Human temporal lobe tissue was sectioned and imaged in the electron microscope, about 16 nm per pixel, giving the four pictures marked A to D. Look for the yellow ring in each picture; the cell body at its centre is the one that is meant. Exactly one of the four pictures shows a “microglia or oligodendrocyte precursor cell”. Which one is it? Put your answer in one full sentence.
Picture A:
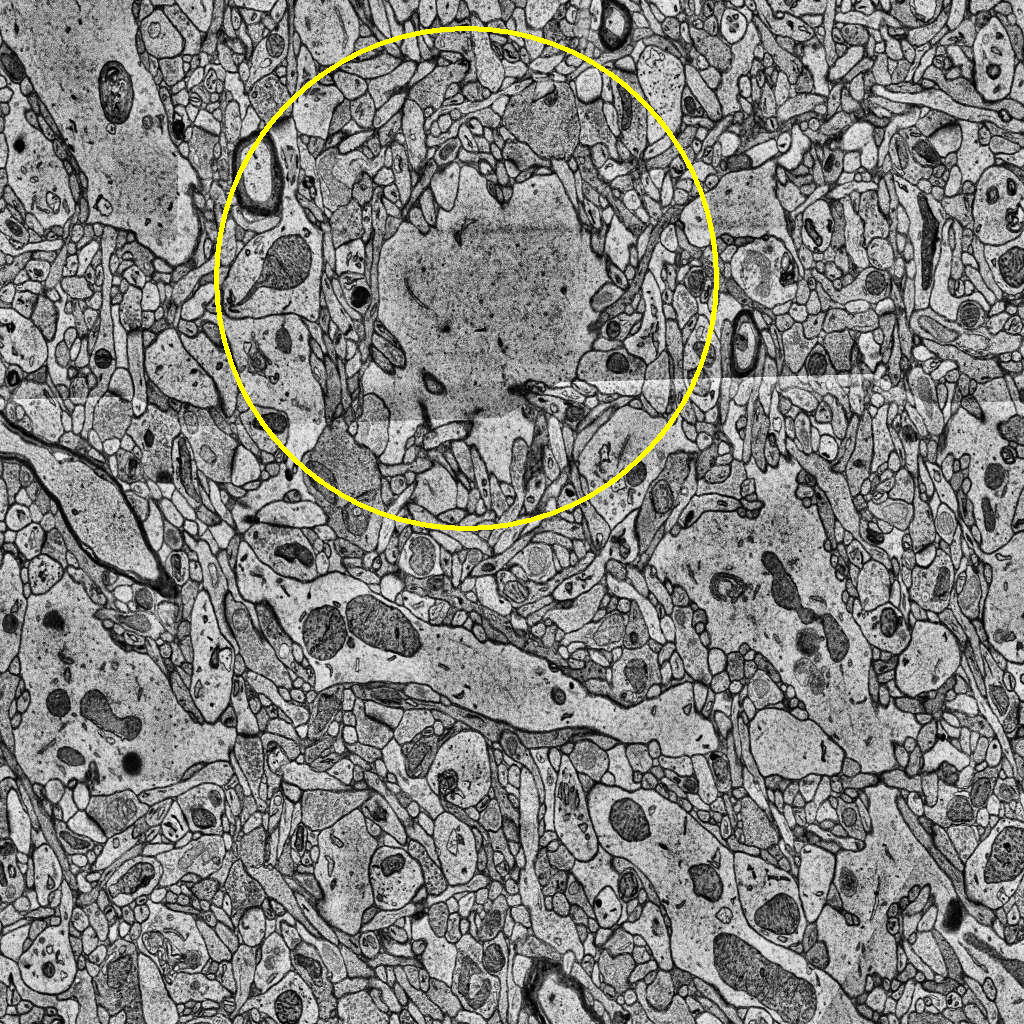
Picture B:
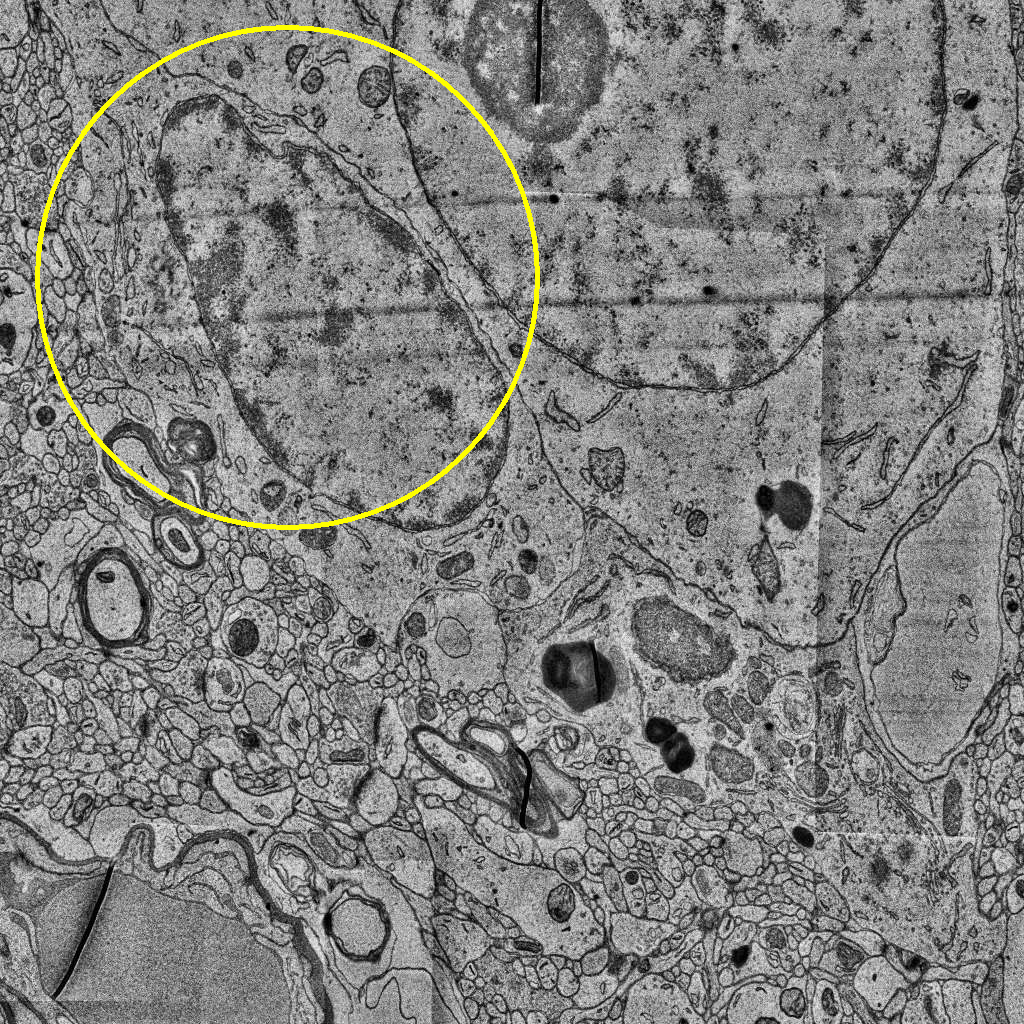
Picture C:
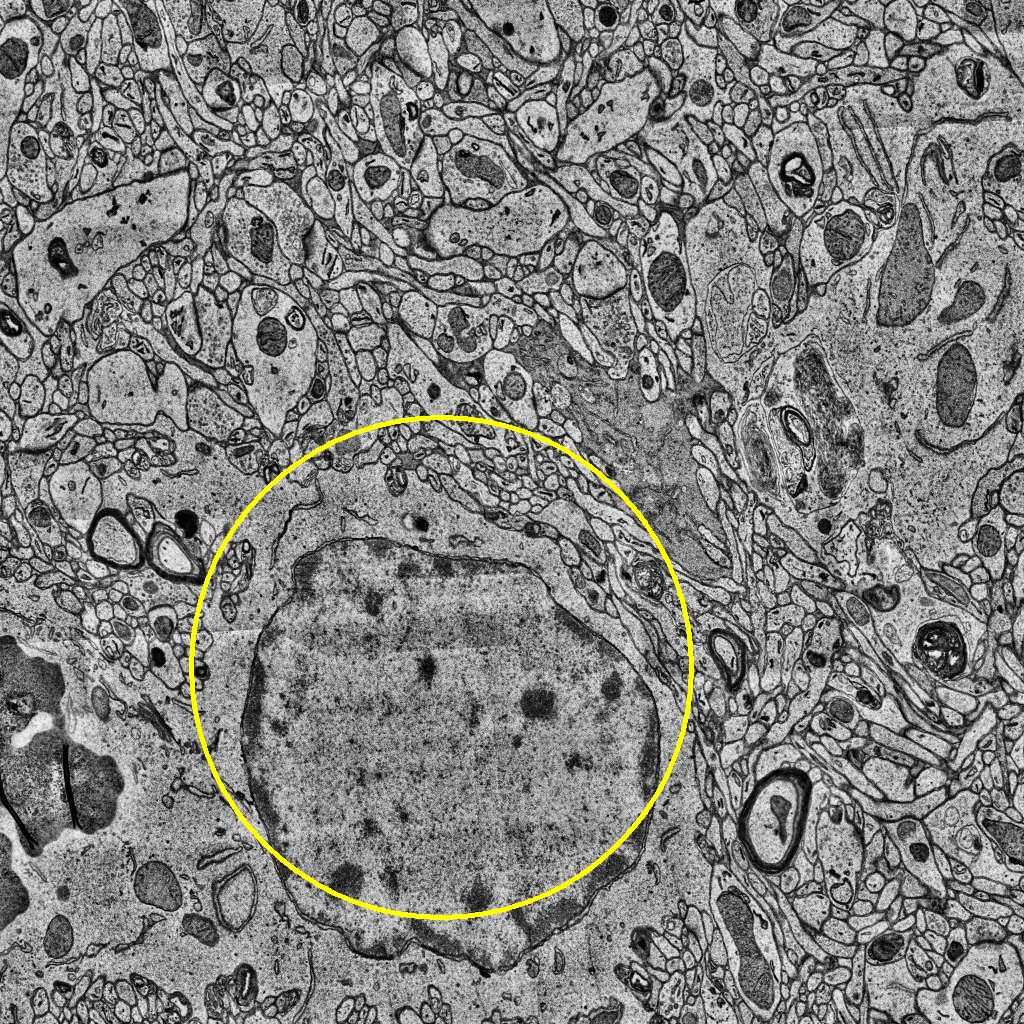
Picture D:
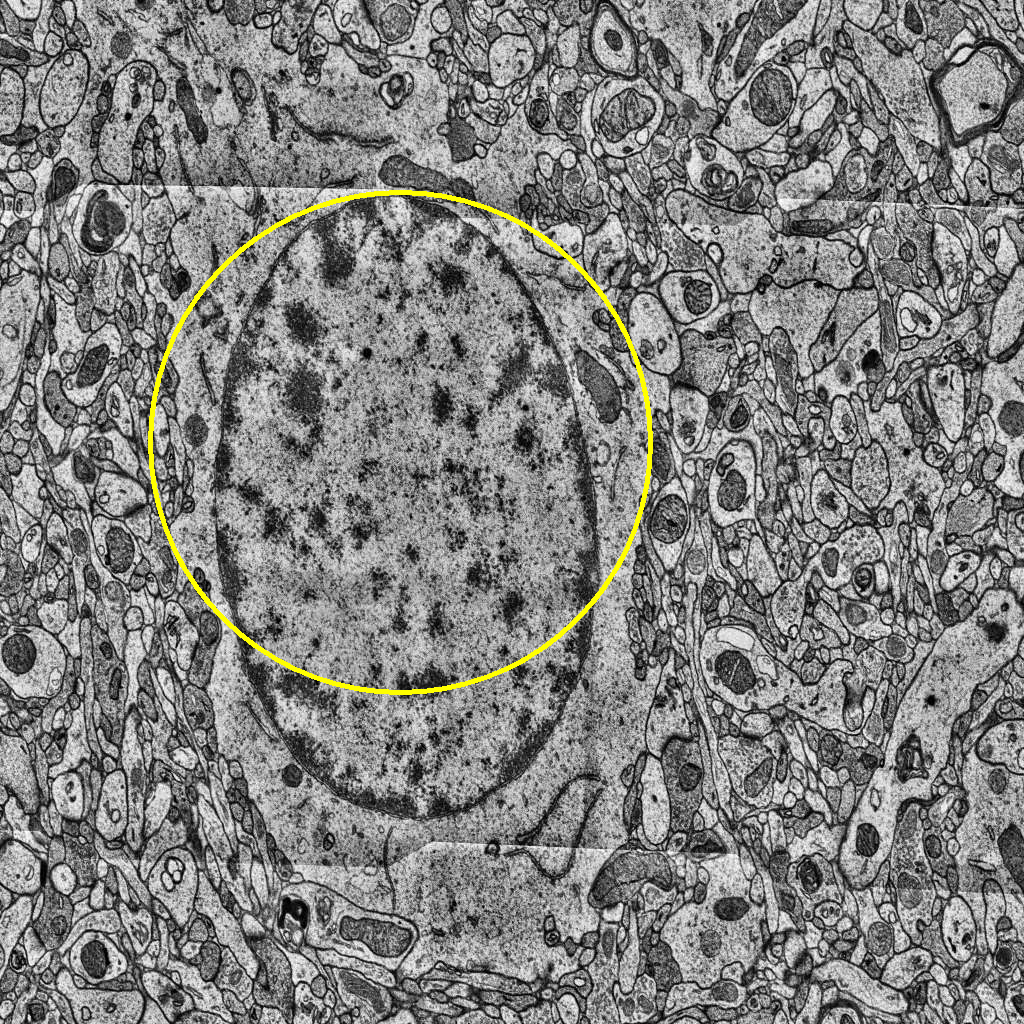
The picture with the “microglia or oligodendrocyte precursor cell” is B.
